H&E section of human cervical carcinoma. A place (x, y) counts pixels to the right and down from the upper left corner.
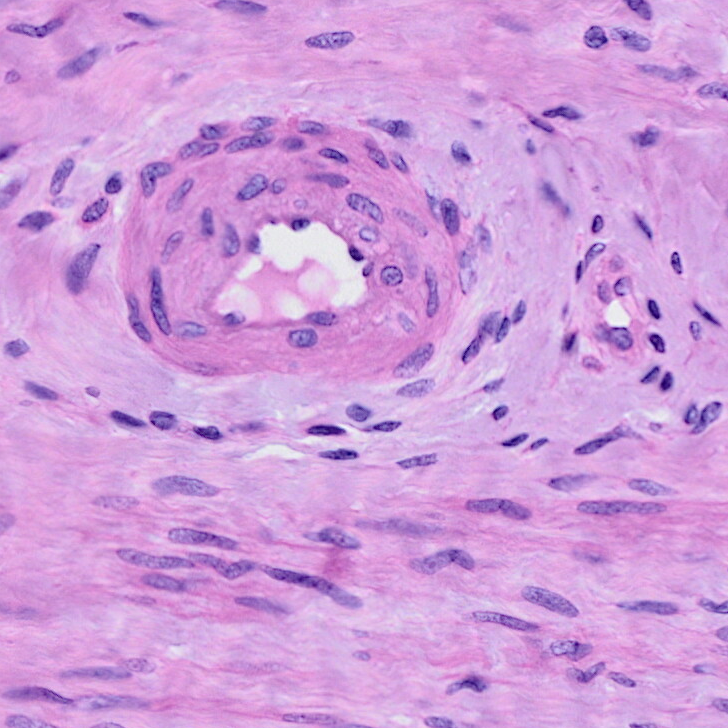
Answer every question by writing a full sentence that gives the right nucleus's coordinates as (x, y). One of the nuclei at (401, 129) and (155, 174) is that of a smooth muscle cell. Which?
Between the pair, the nucleus at (155, 174) belongs to a smooth muscle cell.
